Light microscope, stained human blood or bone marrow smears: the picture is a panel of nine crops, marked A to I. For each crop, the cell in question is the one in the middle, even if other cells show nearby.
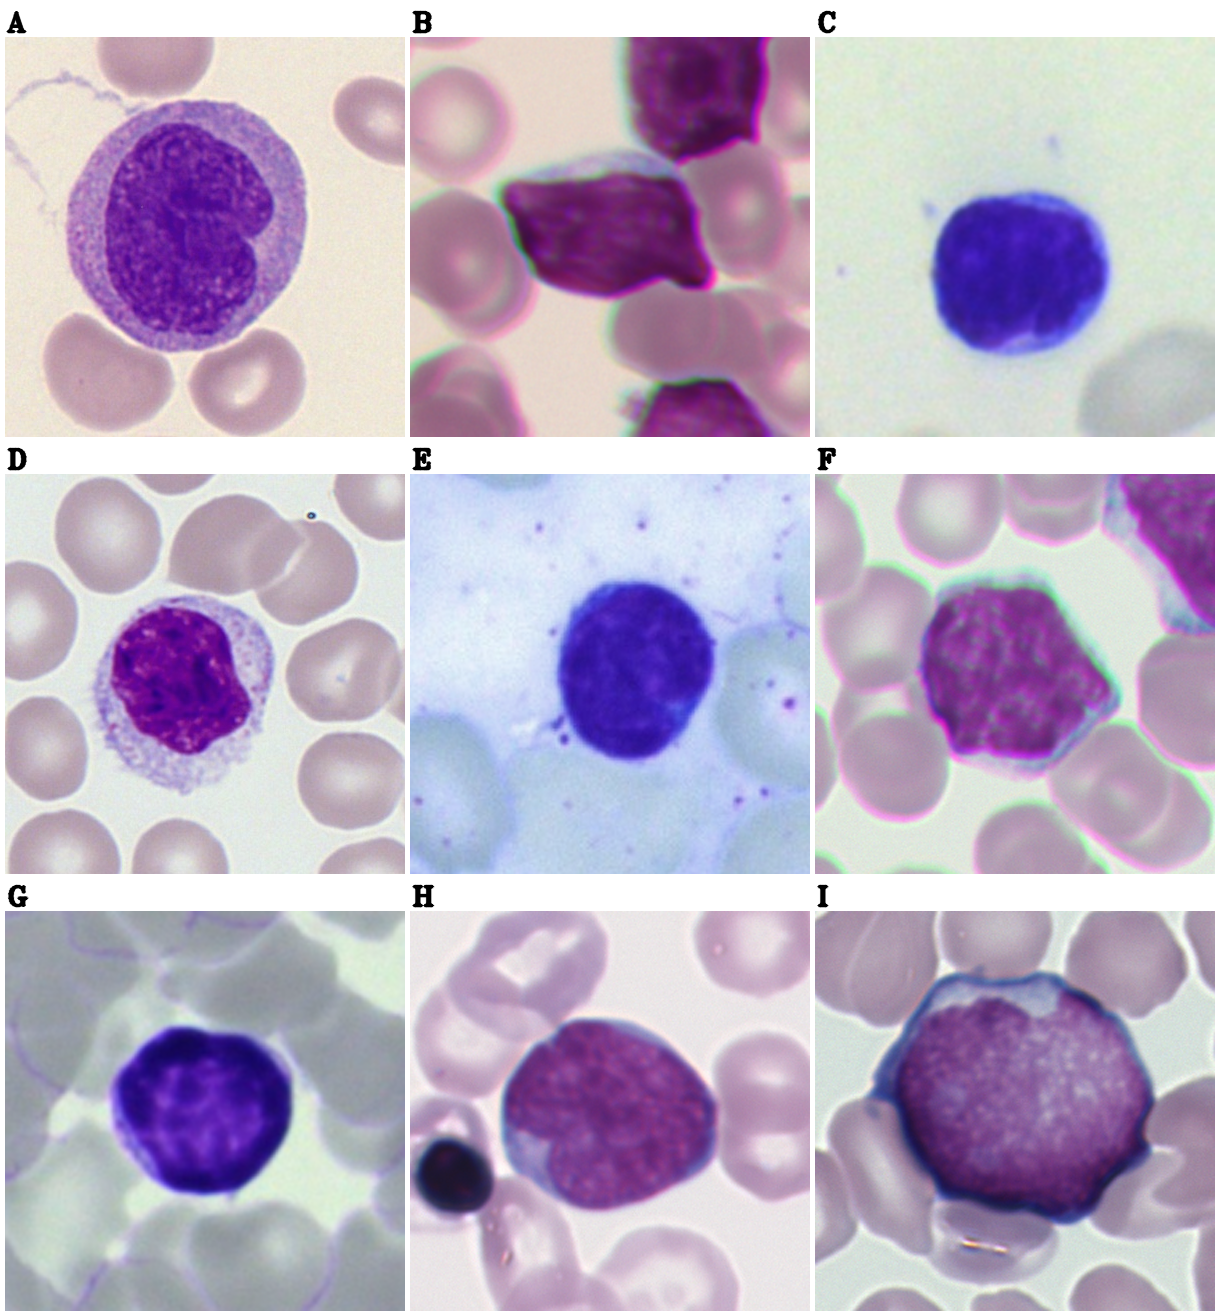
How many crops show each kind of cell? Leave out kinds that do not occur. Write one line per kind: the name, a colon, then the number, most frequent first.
lymphocyte: 6
blast: 3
